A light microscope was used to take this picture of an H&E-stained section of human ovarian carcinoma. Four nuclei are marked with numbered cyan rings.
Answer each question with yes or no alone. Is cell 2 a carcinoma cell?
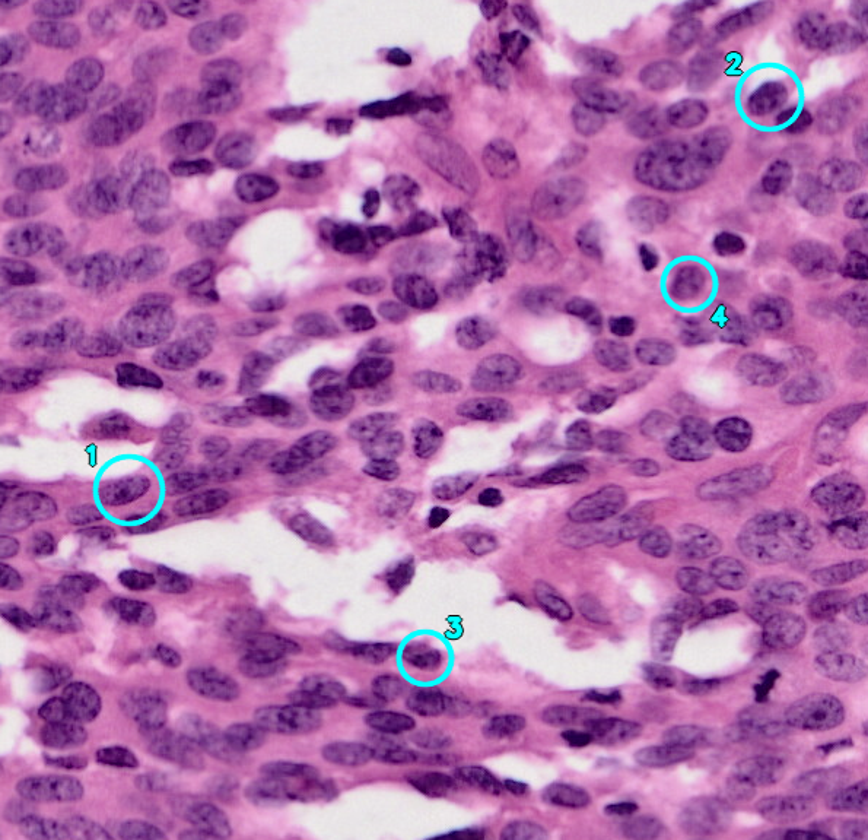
yes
